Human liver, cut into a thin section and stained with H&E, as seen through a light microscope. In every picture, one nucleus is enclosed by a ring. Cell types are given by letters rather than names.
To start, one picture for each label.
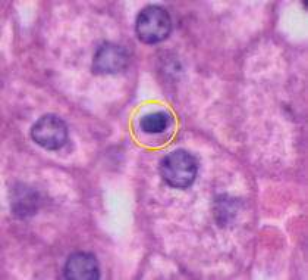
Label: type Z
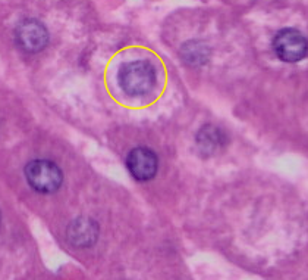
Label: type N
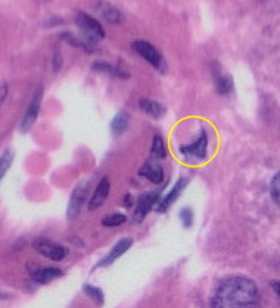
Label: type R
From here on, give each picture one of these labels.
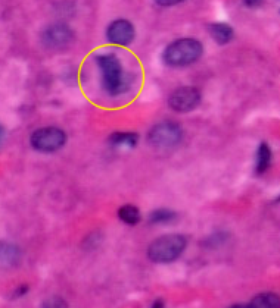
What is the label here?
type R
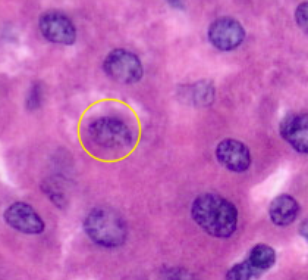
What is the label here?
type N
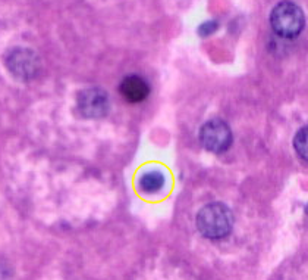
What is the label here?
type Z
